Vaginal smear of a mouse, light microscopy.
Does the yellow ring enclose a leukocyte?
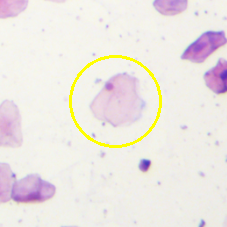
No. The ring encloses a cornified epithelial cell.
